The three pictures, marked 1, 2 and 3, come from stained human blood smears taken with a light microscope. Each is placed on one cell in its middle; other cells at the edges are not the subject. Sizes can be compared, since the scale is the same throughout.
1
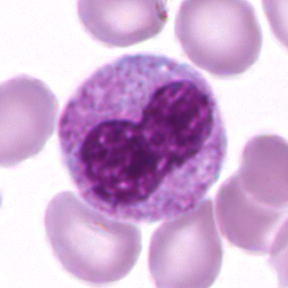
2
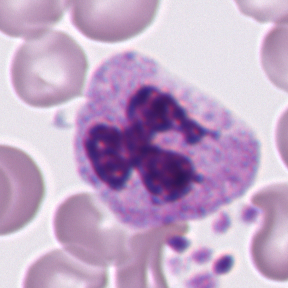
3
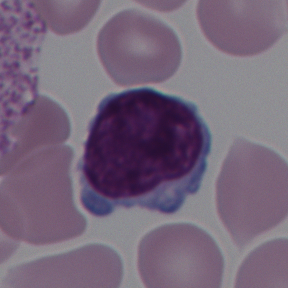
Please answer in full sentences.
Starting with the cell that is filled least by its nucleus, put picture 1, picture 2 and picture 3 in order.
From the least filled to the most, the order is 2, 1, 3.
